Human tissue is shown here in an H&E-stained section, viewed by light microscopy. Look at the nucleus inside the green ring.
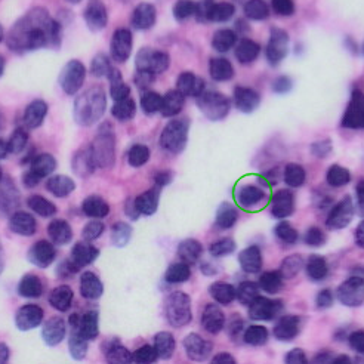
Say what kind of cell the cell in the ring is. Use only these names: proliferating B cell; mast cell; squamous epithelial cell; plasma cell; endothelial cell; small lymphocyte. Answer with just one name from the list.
small lymphocyte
